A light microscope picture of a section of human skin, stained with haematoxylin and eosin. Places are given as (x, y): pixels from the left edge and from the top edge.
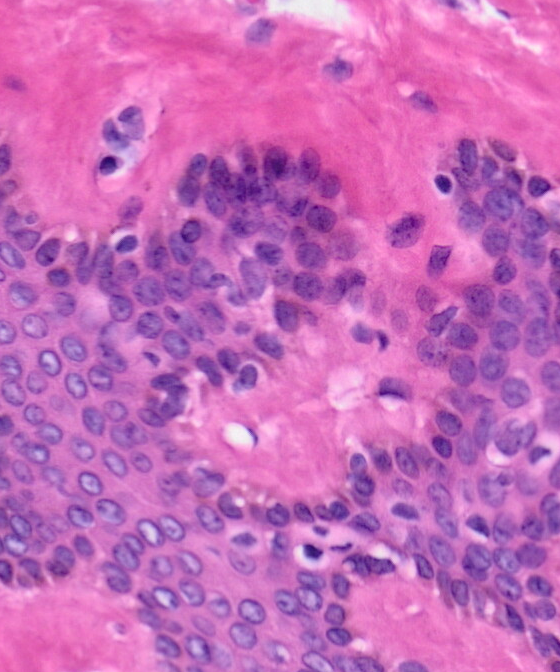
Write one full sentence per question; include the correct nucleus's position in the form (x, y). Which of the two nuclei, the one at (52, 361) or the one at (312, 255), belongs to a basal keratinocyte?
Of these two nuclei, only the one at (312, 255) belongs to a basal keratinocyte.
